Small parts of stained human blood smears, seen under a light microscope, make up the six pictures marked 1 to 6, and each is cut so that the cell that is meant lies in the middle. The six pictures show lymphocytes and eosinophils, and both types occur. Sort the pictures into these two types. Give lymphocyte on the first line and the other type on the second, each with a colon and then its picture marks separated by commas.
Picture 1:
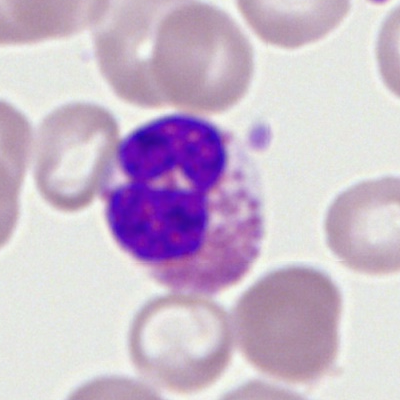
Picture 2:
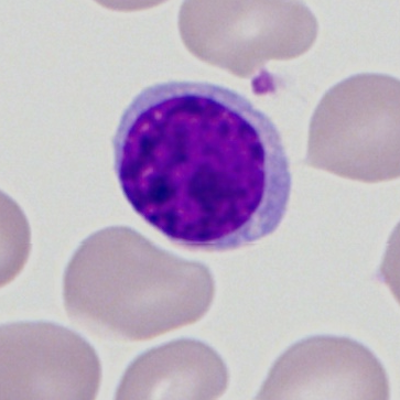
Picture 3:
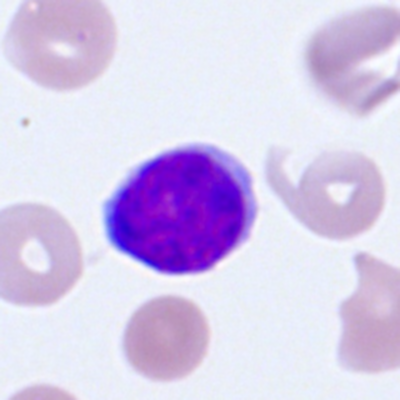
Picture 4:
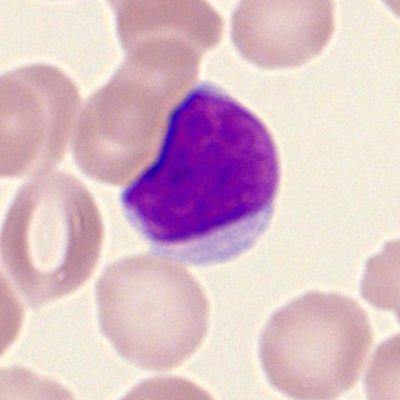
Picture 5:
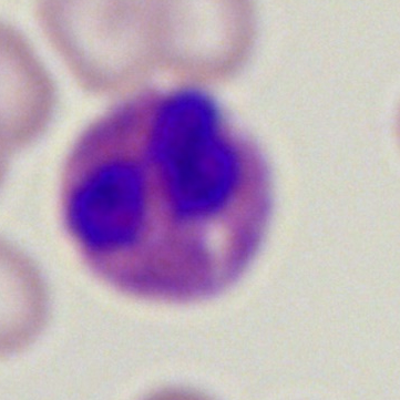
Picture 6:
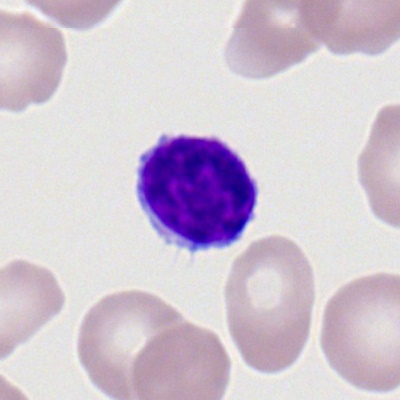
lymphocyte: 2, 3, 4, 6
eosinophil: 1, 5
